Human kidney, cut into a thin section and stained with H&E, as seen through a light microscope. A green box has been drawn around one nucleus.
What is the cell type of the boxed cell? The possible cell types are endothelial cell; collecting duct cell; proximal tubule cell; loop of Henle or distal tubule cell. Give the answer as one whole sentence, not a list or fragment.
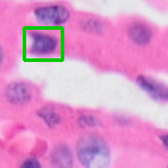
The expected answer is simply that the boxed cell is a loop of Henle or distal tubule cell.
